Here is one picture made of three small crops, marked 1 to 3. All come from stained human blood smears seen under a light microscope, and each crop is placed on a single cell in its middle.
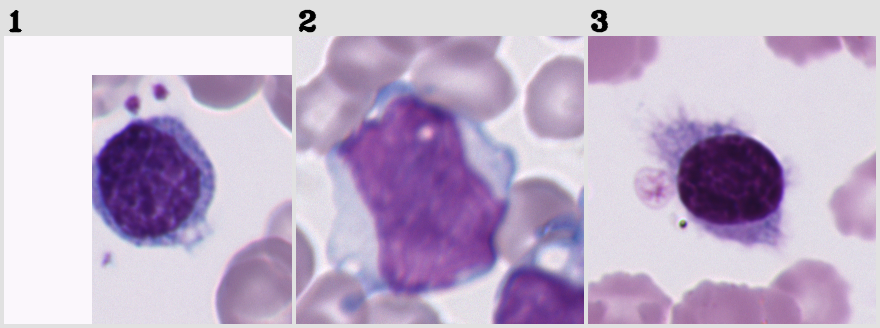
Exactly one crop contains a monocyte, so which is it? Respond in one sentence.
The sole crop showing a monocyte is crop 1.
